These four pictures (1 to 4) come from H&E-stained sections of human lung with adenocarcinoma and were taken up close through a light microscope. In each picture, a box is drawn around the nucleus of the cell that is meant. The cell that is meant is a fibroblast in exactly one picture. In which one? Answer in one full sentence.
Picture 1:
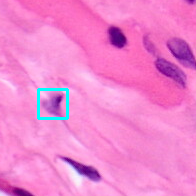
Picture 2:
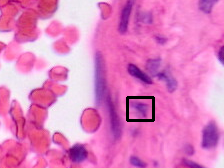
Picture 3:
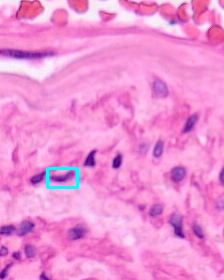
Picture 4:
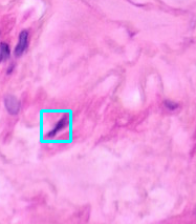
The fibroblast is the one in picture 1.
